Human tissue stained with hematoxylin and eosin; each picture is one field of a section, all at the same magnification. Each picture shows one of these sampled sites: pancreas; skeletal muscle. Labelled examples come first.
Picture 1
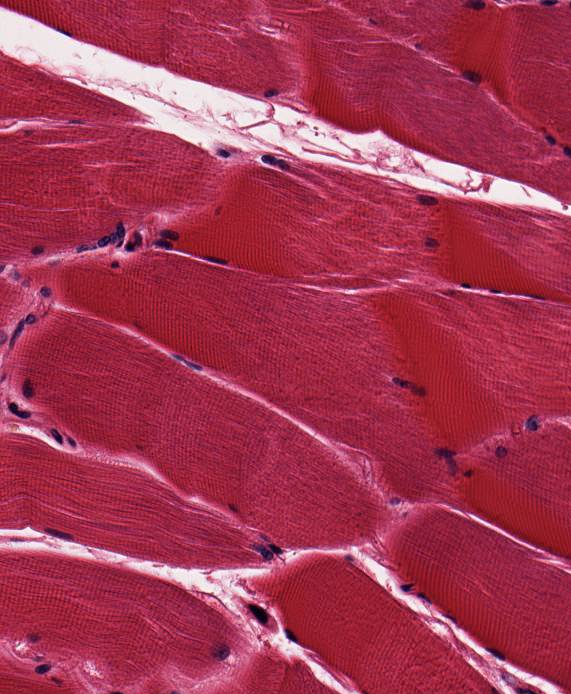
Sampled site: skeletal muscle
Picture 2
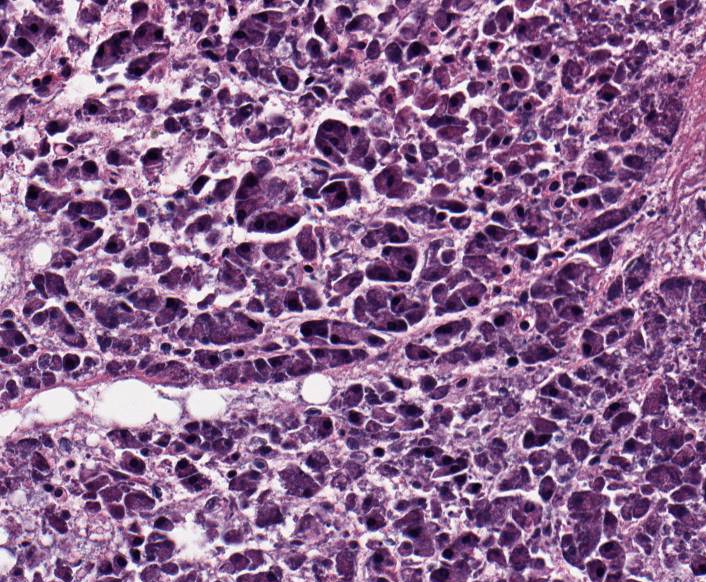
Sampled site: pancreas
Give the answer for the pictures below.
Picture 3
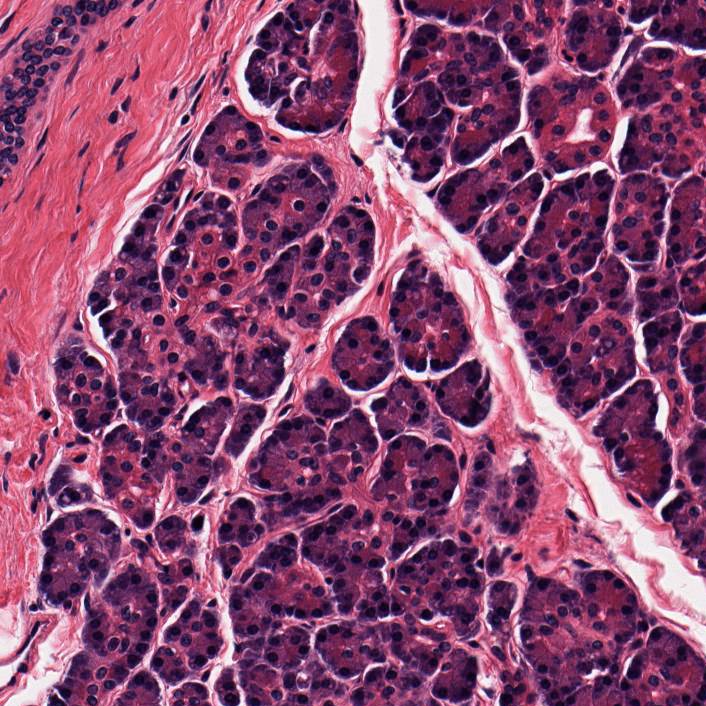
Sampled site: pancreas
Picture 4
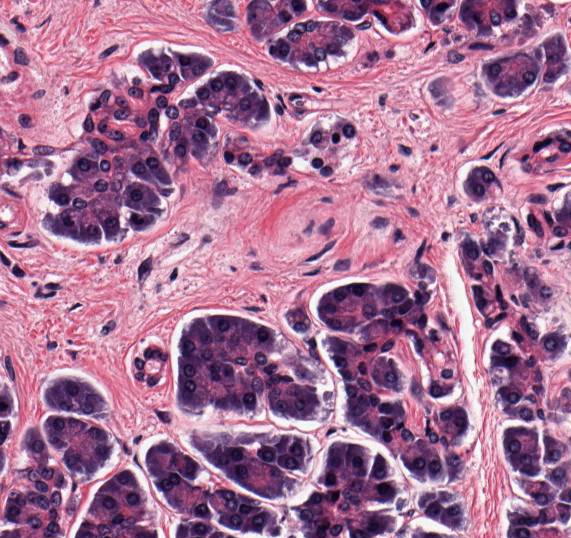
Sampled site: pancreas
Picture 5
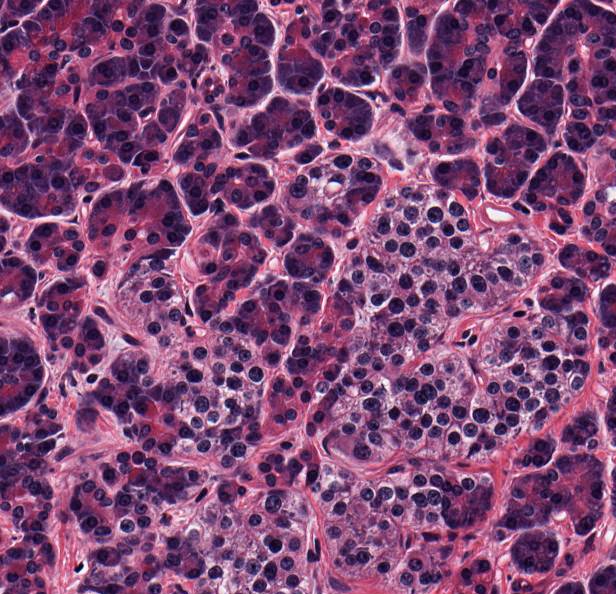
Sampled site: pancreas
